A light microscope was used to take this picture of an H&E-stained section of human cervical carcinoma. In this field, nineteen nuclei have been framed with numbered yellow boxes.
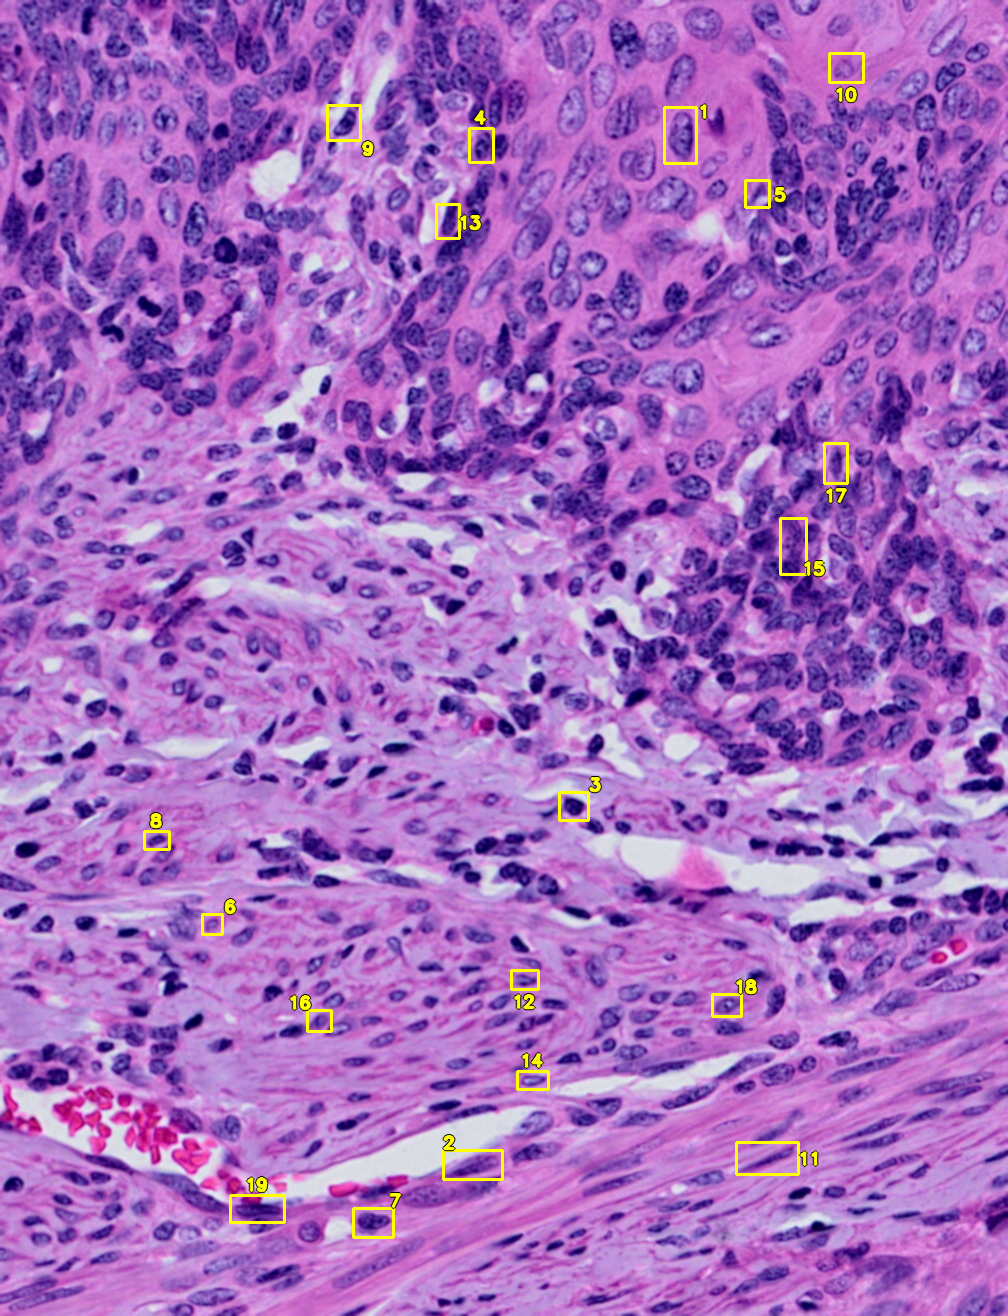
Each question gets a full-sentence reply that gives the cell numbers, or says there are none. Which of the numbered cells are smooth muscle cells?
The cells whose numbers are 6, 8, 11, 12, 14, 16 and 18 are smooth muscle cells.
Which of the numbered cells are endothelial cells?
In this section, the cells labelled 2 and 19 are endothelial cells.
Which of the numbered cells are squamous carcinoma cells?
Classified as squamous carcinoma cells are the cells numbered 1, 4, 5, 10, 13, 15 and 17.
